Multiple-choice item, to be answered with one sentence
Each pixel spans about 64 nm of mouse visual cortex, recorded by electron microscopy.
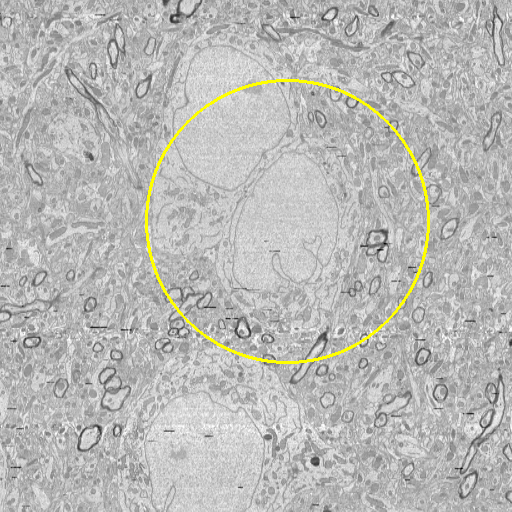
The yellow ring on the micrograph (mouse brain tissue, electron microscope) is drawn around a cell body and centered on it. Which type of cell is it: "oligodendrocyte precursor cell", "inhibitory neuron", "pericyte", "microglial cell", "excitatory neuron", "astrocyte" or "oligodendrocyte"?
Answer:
The ring is centered on an inhibitory neuron.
